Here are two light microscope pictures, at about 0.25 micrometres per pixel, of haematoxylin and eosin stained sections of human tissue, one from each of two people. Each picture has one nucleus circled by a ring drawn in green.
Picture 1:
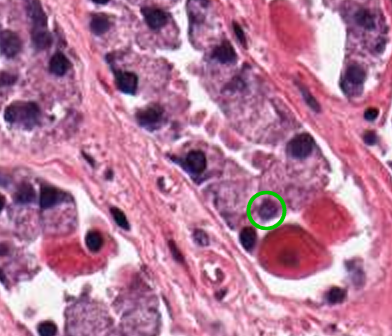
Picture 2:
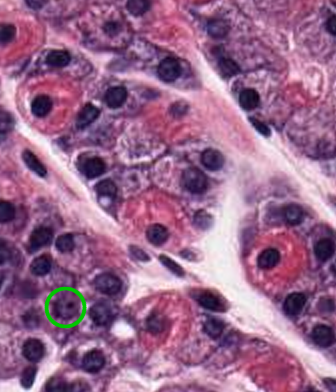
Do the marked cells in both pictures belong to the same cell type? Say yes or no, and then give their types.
Yes, both are chief cells.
